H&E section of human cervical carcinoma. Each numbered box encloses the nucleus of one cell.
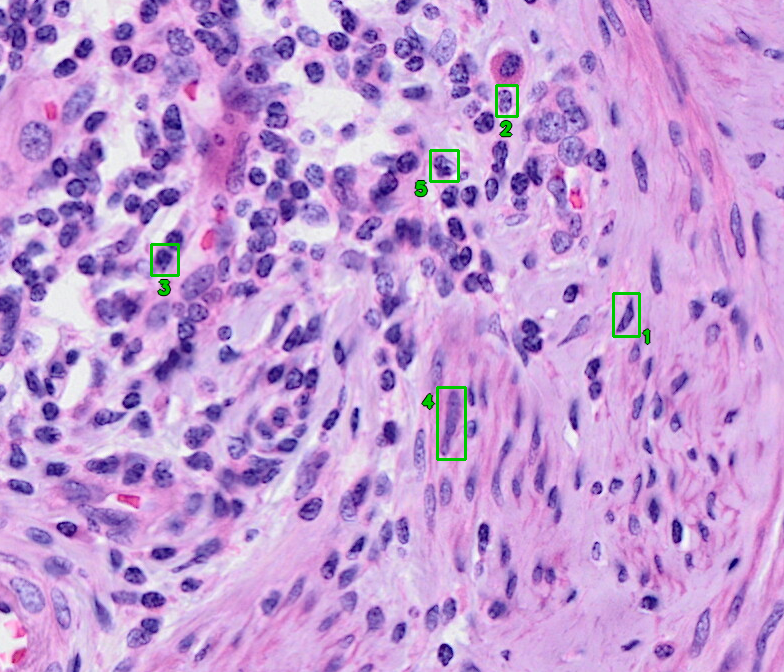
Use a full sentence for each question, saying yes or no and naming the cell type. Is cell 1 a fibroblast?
Yes, of the numbered cells, number 1 is a fibroblast.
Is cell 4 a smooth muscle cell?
Yes, the marked cell number 4 is a smooth muscle cell.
